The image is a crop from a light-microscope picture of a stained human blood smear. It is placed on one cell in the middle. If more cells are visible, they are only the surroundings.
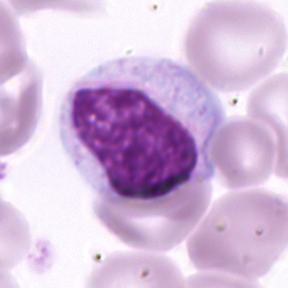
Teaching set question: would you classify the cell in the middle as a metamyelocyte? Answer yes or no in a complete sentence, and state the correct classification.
Yes, the cell in the center of the field is a metamyelocyte.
